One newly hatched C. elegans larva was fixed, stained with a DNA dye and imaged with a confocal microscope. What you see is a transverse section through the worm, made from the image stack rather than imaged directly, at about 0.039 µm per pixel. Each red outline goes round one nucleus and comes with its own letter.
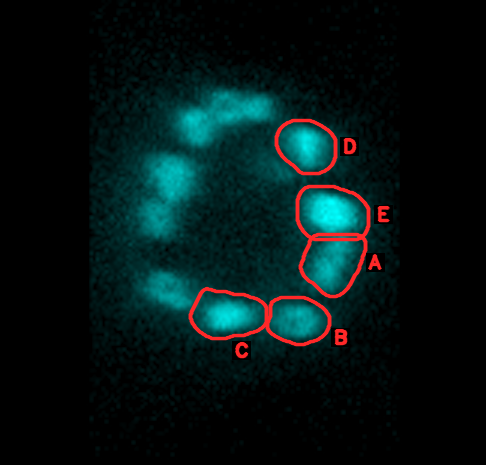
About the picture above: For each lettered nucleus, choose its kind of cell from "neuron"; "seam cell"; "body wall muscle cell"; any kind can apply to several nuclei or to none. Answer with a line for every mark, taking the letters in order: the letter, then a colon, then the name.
A: seam cell
B: body wall muscle cell
C: neuron
D: neuron
E: neuron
